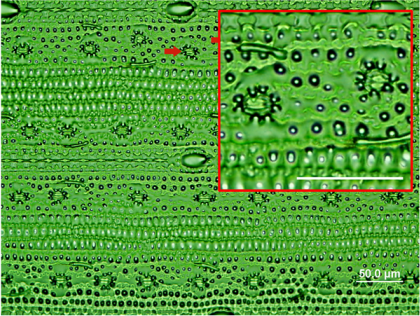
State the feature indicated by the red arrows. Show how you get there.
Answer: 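Small rounded pores surrounded by a ring of projections lie in rows. So: stomata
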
